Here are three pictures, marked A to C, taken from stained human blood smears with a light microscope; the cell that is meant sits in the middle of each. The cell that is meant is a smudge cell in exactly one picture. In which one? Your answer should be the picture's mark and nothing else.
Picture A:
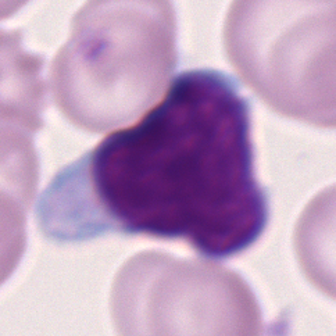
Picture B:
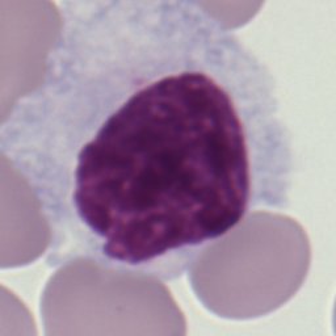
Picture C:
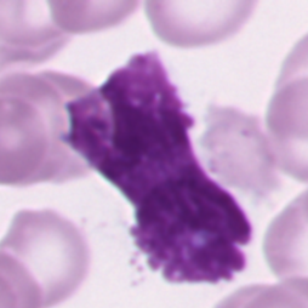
C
